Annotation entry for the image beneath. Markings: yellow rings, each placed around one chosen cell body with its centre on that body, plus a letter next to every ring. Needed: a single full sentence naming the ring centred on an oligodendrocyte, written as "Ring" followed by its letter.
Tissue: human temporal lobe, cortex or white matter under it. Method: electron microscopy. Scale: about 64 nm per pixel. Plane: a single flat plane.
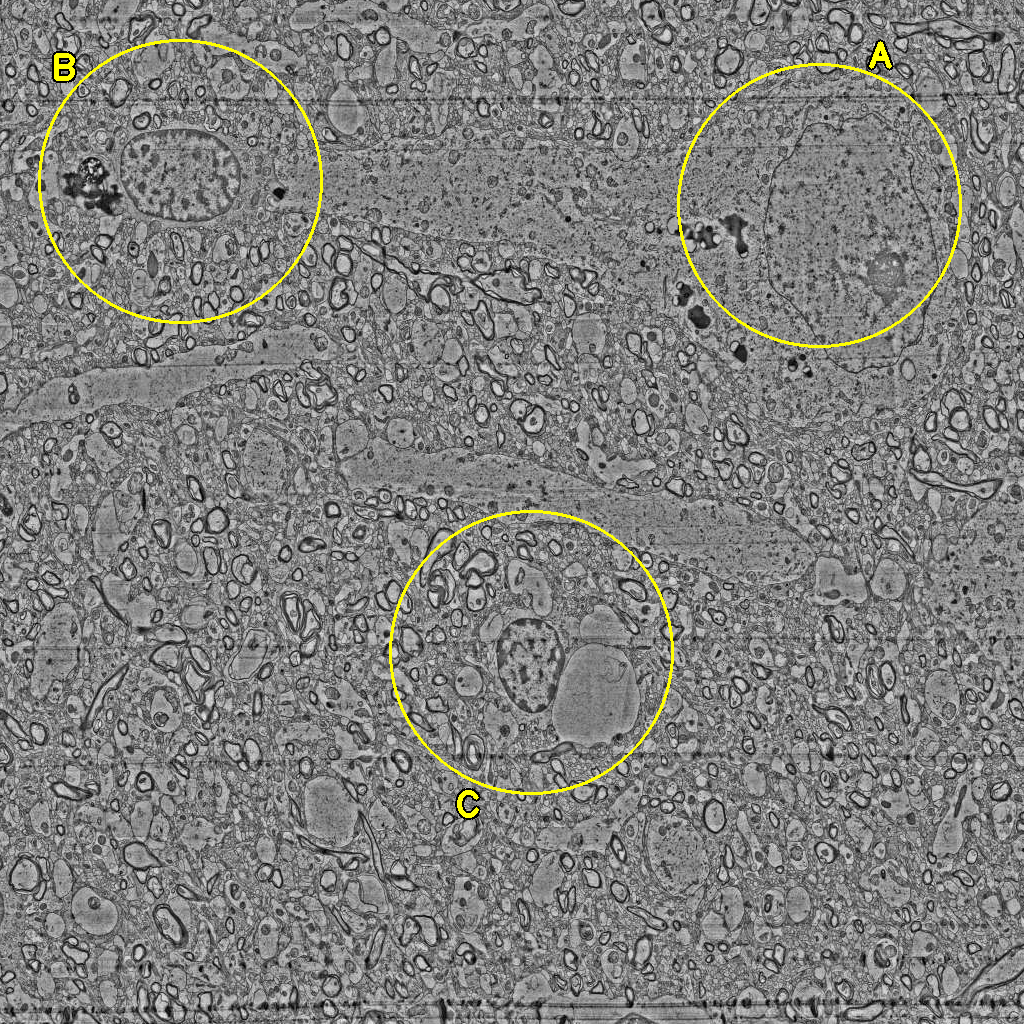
The image shows the cell in question at the centre of Ring B.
